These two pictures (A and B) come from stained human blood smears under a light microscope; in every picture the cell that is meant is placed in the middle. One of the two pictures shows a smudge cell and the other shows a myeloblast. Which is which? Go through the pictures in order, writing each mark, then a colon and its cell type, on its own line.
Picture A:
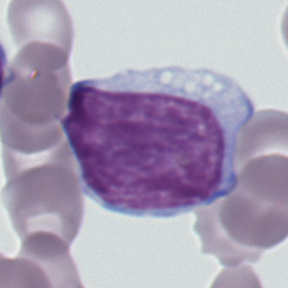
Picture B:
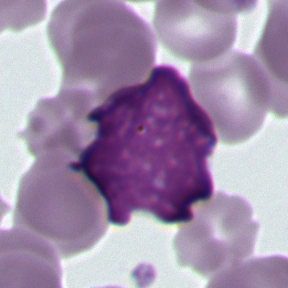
A: myeloblast
B: smudge cell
